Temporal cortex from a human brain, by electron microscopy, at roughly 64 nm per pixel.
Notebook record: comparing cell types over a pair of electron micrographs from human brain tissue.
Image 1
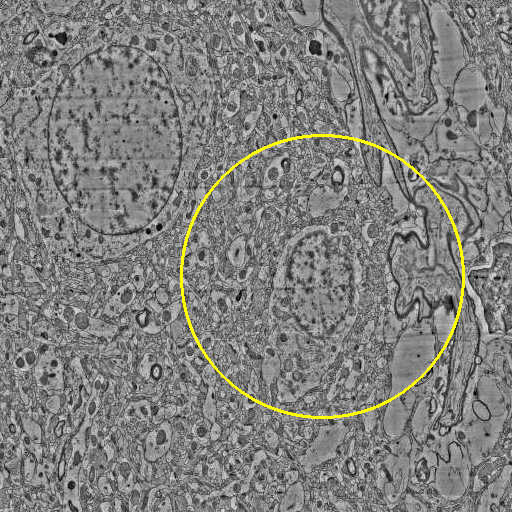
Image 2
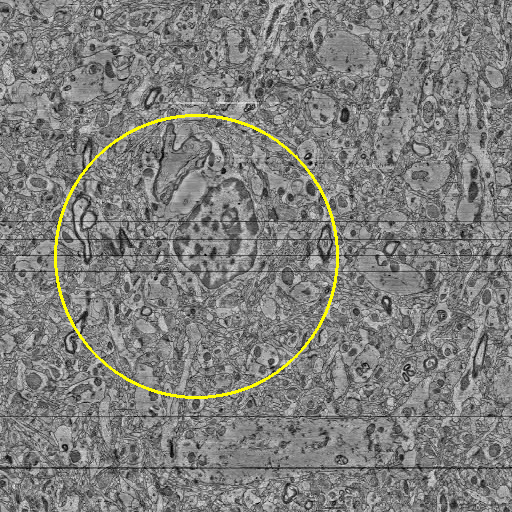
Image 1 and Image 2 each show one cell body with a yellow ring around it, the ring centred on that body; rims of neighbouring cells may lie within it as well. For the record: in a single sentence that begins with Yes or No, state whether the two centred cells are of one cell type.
No, two cell types are found among the centred cells of Image 1 and Image 2.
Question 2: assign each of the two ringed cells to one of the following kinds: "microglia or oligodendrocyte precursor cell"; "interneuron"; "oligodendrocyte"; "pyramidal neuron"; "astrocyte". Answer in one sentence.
The two cells are an interneuron in the first picture and a microglial cell or oligodendrocyte precursor cell in the second.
